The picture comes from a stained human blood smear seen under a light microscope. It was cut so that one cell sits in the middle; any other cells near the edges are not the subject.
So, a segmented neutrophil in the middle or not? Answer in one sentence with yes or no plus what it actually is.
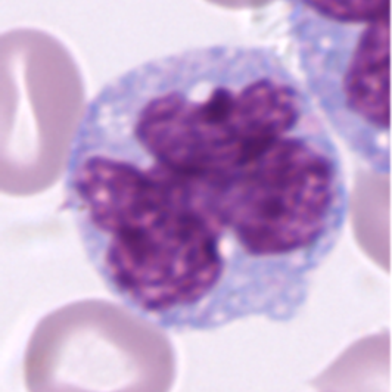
No, rather than a segmented neutrophil, the central cell is a monocyte.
